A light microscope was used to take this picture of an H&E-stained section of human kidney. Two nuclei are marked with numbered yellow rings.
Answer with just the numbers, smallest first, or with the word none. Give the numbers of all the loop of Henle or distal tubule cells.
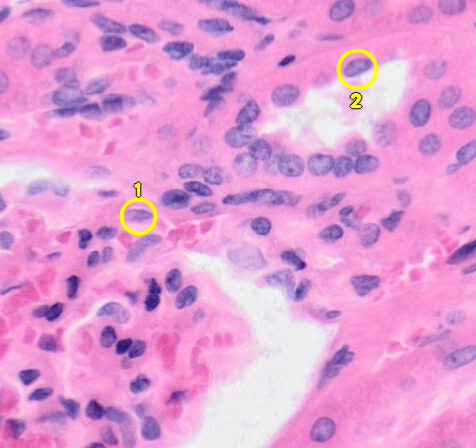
2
